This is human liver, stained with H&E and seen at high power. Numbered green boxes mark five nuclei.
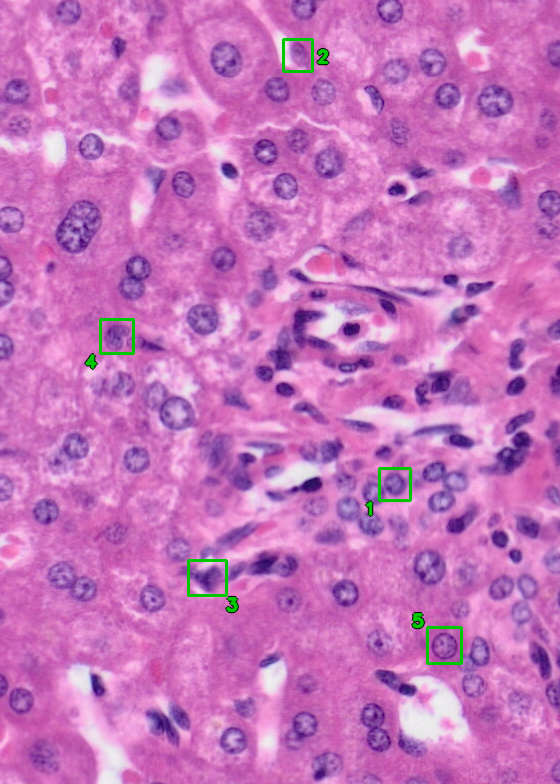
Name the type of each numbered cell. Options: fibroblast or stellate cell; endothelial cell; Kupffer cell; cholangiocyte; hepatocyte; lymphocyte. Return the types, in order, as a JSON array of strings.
["cholangiocyte", "Kupffer cell", "fibroblast or stellate cell", "fibroblast or stellate cell", "hepatocyte"]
